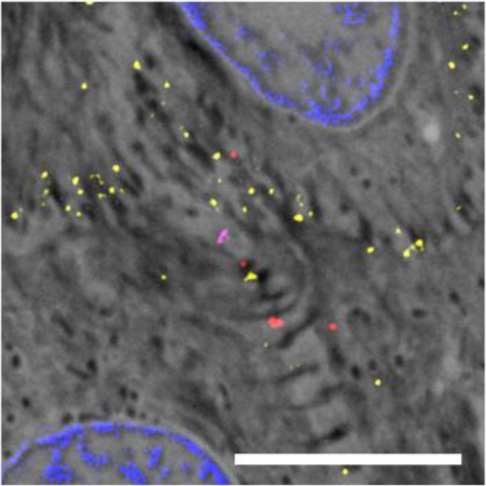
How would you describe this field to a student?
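This is a greyscale electron image of tissue overlaid with fluorescent signals, showing parts of two cells at high magnification. Two nuclei lie at the upper right and lower left corners, their rims traced by blue fluorescence that matches the edge of the nuclear texture in the grey image. Between them the cytoplasm shows streaky, fibrous grey texture with darker elongated clefts. A few red dots and a small magenta spot lie near the centre, close to a curved band of dark, ridged structures.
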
